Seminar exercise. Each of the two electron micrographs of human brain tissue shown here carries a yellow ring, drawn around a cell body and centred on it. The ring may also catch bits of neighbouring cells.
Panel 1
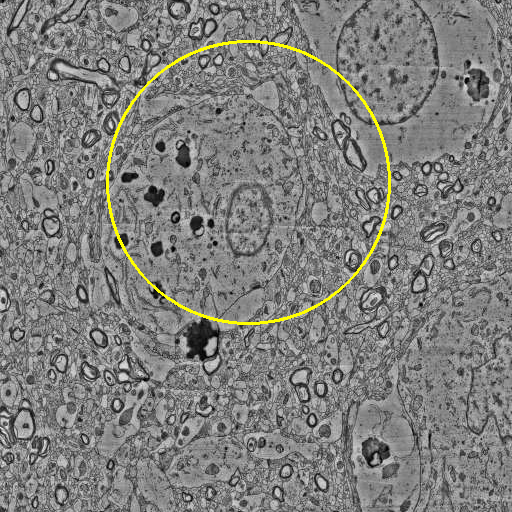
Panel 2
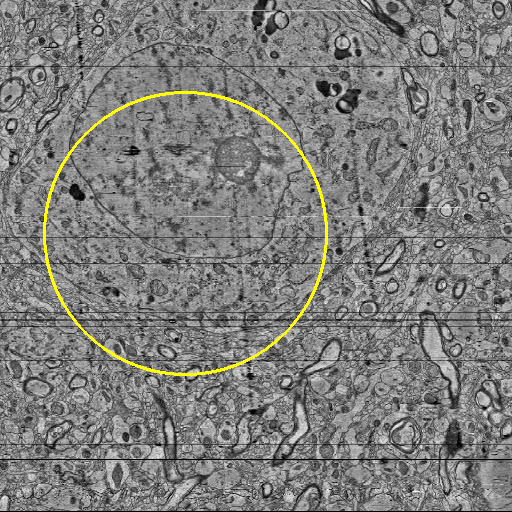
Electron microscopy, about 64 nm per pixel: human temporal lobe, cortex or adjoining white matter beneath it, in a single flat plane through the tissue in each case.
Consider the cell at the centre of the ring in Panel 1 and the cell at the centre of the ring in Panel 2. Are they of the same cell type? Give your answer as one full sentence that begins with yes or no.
Yes, both cells are of the same type.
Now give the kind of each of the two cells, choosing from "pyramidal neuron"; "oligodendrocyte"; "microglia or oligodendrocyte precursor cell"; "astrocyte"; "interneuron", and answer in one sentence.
Both cells are the same kind, each one being a pyramidal neuron.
